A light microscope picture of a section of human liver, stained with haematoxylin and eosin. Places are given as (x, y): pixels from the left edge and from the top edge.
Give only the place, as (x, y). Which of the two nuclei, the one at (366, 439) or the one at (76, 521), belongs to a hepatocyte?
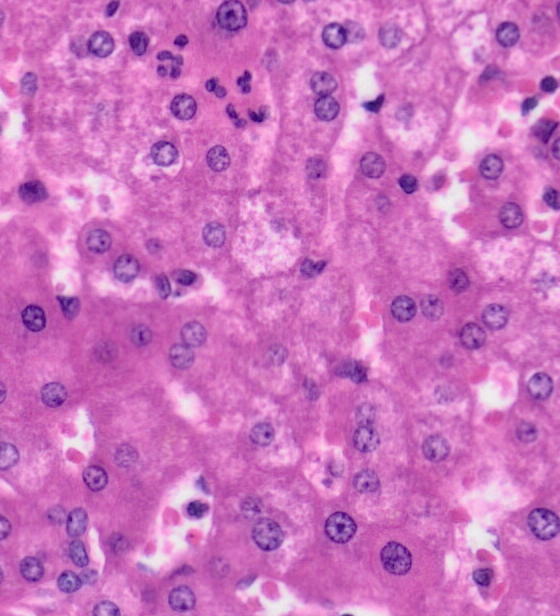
(366, 439)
